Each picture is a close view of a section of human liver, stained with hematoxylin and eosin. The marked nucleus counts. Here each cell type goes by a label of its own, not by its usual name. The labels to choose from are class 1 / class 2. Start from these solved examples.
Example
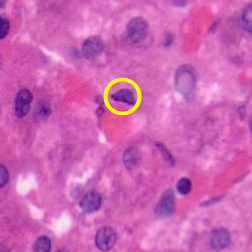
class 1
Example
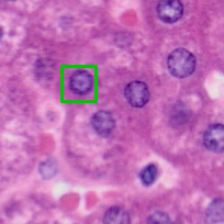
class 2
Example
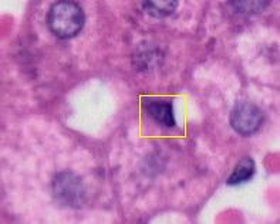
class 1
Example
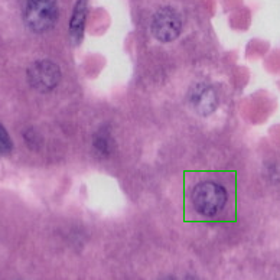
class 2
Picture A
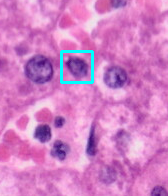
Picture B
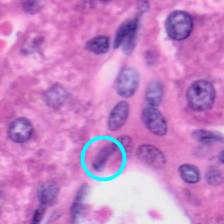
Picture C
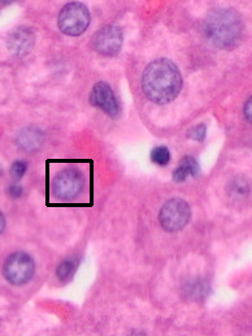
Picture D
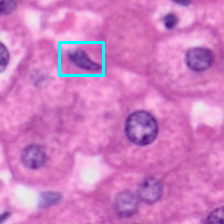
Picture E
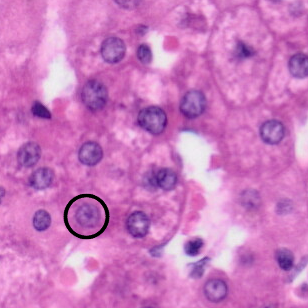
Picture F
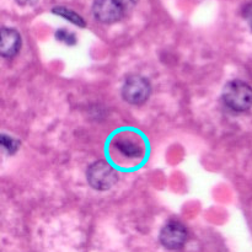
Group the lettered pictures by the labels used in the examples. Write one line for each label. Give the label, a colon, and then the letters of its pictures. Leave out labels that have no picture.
class 1: A, B, D, F
class 2: C, E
